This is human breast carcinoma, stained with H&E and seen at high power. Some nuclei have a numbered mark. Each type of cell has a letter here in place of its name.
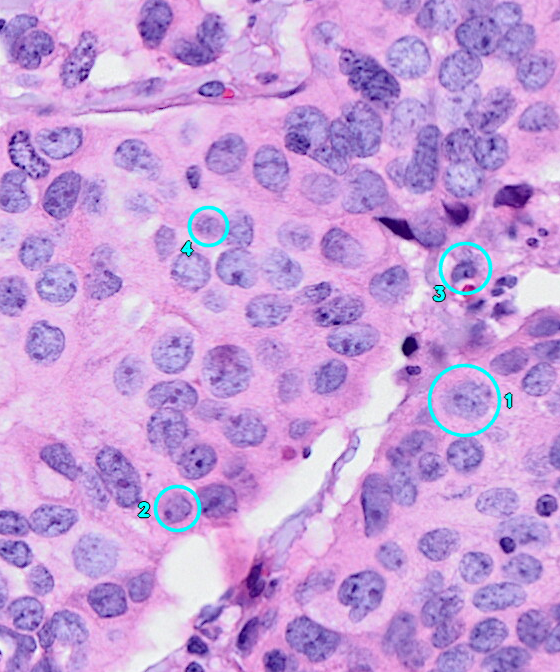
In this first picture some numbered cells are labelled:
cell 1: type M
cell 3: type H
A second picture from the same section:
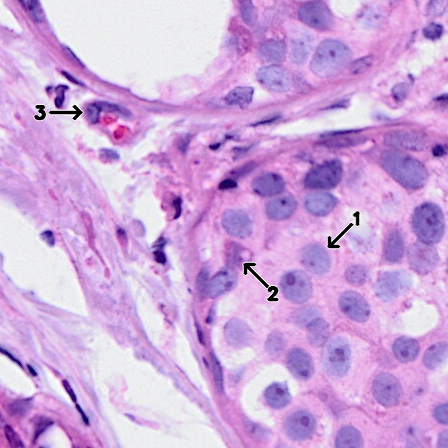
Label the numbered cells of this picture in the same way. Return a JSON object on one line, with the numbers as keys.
{"1": "type M", "2": "type M", "3": "type H"}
